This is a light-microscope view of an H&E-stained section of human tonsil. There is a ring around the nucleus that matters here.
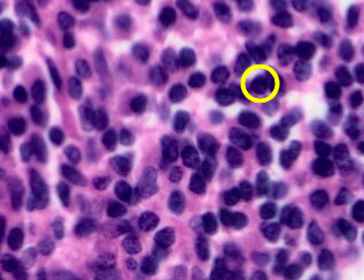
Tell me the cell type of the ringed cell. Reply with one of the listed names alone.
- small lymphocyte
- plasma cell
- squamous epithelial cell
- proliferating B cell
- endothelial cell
small lymphocyte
